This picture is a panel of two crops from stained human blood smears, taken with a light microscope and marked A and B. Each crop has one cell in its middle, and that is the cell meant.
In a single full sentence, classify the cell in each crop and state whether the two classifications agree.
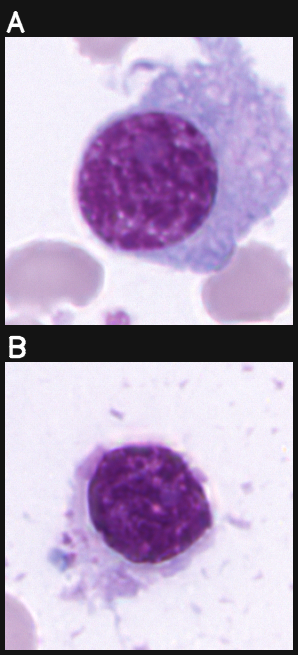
Yes, both the first crop and the second crop show plasma cells.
